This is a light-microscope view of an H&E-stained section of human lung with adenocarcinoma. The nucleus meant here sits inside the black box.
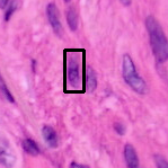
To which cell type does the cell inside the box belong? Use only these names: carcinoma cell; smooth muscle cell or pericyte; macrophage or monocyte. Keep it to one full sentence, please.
Considered by cell type, the cell inside the box is a smooth muscle cell or pericyte.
